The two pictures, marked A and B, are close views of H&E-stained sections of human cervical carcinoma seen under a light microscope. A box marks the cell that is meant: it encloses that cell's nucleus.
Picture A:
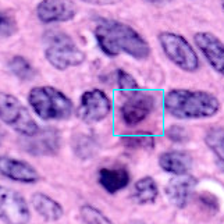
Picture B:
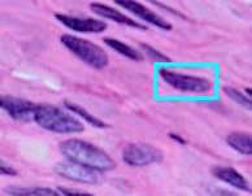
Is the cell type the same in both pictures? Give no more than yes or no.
no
